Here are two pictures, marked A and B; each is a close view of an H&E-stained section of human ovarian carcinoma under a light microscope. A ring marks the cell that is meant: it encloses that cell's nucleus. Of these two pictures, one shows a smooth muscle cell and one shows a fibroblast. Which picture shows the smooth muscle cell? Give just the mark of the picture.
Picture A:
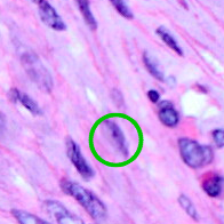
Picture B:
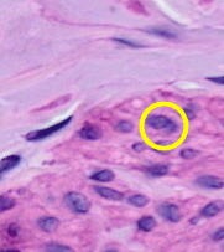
B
